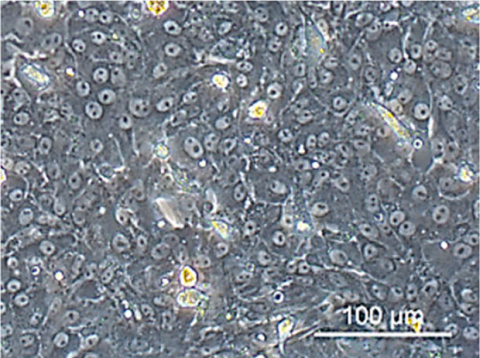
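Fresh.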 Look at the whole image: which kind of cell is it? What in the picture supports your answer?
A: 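Flat polygonal cells form a confluent sheet. Each cell has a round central nucleus with a dark nucleolus. Cytoplasm is broad and granular. The answer: primary hepatocytes.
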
